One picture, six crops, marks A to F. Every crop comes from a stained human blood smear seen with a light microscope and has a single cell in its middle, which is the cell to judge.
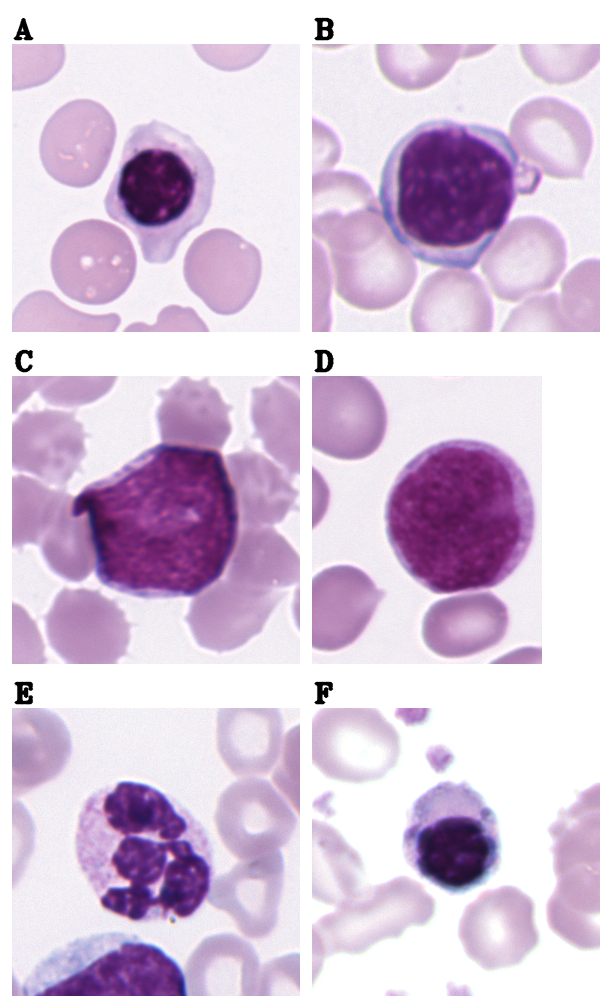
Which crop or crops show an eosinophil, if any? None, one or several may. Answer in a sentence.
The crops do not show an eosinophil, not even in one case.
